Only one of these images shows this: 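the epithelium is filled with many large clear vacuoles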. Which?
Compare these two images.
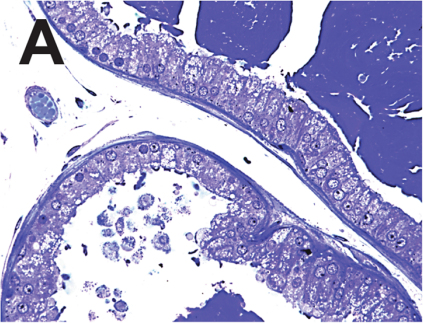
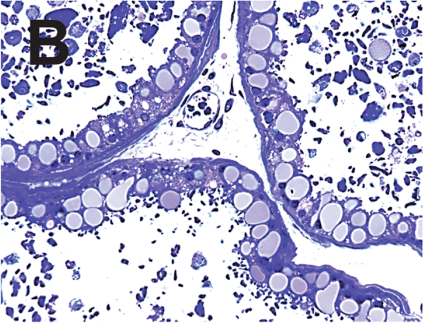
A: The second image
